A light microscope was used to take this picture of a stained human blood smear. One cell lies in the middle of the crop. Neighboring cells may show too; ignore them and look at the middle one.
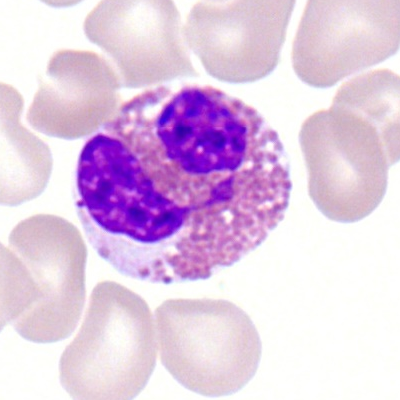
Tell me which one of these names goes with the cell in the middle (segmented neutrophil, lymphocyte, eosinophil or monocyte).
eosinophil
